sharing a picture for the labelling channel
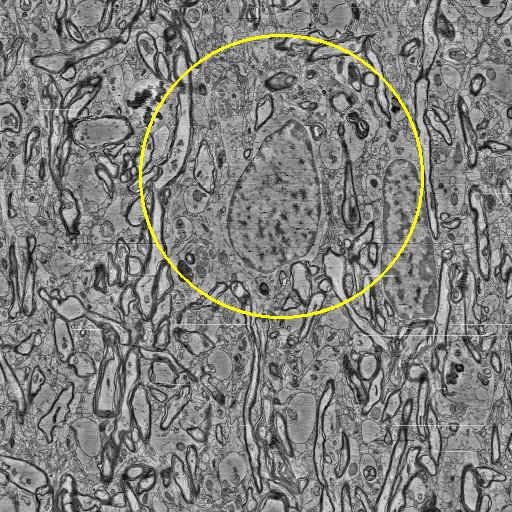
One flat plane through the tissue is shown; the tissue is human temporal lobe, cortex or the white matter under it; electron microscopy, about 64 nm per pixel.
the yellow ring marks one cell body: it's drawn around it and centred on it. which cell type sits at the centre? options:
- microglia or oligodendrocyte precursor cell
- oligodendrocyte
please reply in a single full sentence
In the picture, the cell at the ring's centre is a microglial cell or oligodendrocyte precursor cell, going by the list.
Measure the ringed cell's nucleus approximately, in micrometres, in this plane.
The nucleus is about 9 micrometres in length and 6 in width, clearly longer than it is wide in this plane.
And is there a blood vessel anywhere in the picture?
No, there is no blood vessel.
